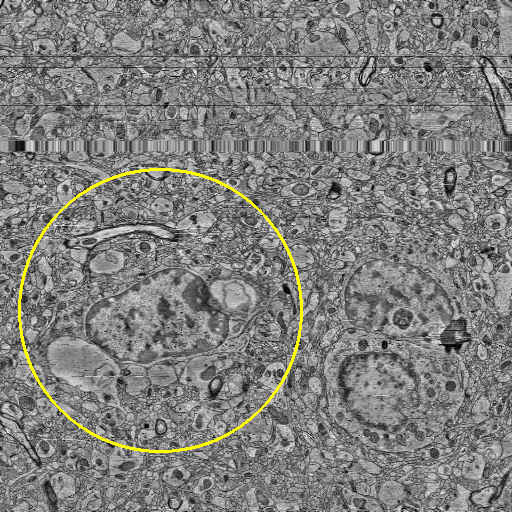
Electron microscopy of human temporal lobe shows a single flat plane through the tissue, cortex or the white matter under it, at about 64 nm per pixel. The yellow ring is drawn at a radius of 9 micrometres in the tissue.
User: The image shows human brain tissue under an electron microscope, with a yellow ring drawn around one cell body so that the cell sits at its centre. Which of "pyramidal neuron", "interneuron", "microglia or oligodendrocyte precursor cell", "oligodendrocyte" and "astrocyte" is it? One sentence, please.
At the centre of the ring sits a microglial cell or oligodendrocyte precursor cell.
